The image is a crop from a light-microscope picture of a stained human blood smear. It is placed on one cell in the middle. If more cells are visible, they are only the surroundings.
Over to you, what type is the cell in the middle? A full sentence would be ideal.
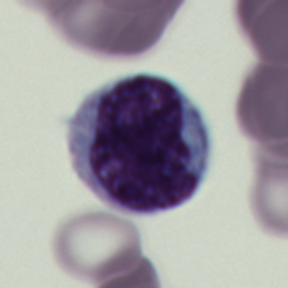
In the center of this field lies a monocyte.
